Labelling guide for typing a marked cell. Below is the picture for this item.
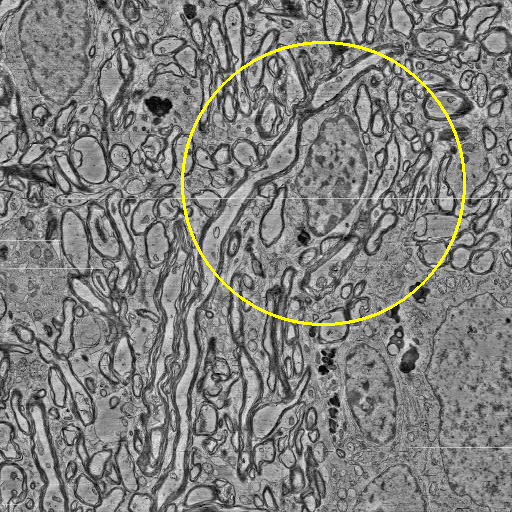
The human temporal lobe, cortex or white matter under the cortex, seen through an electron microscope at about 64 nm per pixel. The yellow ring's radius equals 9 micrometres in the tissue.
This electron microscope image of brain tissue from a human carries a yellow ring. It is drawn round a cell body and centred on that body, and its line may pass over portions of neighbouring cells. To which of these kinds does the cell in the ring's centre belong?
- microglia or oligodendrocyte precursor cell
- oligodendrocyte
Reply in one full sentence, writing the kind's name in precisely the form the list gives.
Here we have a microglial cell or oligodendrocyte precursor cell at the centre of the yellow ring in the picture.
